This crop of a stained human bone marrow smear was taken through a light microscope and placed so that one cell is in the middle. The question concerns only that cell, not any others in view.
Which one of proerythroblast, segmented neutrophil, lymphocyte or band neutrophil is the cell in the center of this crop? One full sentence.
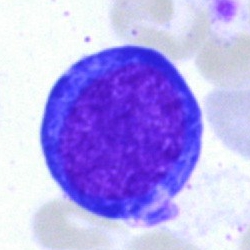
Regarding the central cell, it is a proerythroblast.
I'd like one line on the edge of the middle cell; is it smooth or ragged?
The cell membrane follows an uneven contour, either ragged or bearing projections.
